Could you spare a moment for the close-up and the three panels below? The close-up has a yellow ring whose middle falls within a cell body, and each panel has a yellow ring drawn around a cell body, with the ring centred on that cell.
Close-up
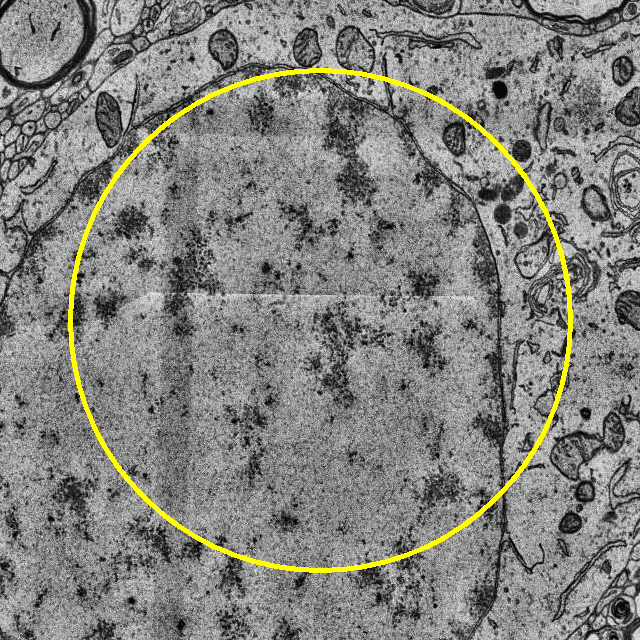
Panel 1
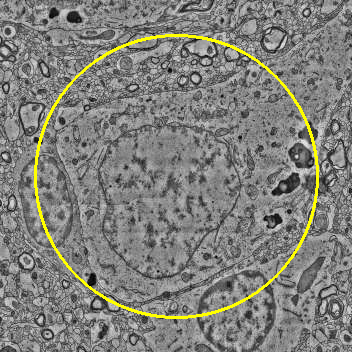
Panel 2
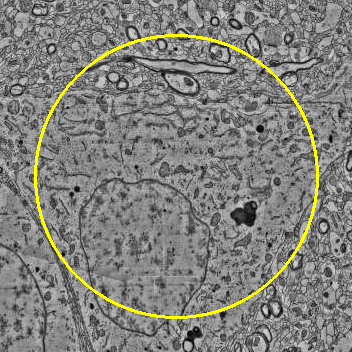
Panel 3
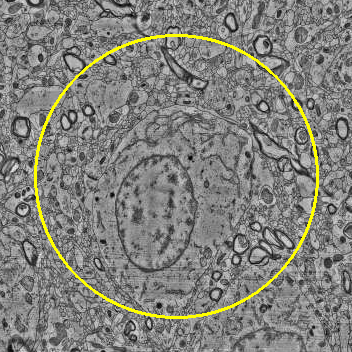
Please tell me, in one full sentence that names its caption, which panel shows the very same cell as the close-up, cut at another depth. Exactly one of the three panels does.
The close-up presents the same cell outlined by the ring in Panel 3.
